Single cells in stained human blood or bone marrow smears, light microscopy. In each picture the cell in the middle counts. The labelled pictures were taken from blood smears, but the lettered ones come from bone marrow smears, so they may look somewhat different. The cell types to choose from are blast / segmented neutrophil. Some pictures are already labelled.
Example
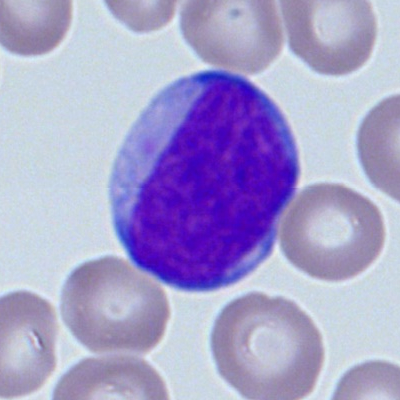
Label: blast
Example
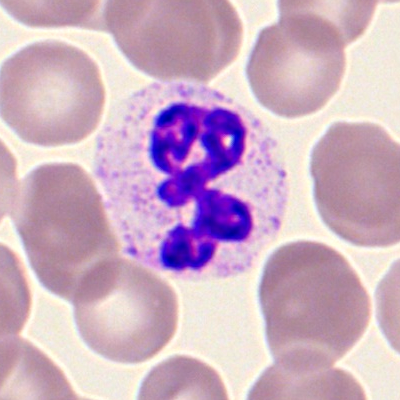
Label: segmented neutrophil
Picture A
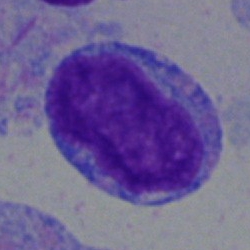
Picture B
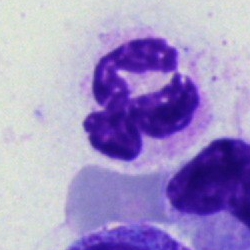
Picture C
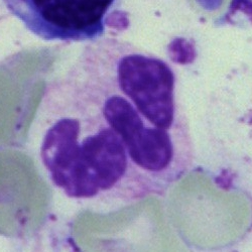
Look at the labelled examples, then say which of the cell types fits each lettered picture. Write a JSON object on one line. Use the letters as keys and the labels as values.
{"A": "blast", "B": "segmented neutrophil", "C": "segmented neutrophil"}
